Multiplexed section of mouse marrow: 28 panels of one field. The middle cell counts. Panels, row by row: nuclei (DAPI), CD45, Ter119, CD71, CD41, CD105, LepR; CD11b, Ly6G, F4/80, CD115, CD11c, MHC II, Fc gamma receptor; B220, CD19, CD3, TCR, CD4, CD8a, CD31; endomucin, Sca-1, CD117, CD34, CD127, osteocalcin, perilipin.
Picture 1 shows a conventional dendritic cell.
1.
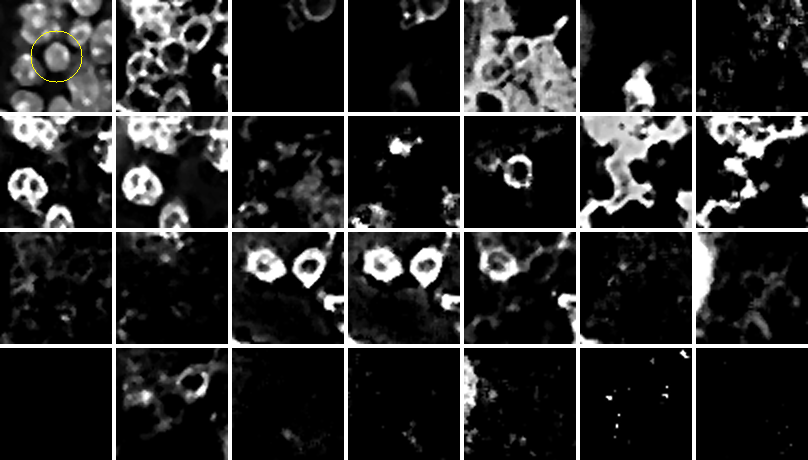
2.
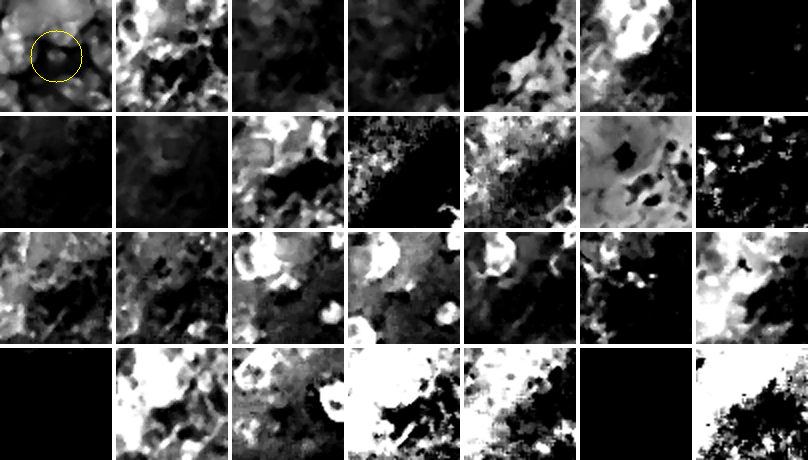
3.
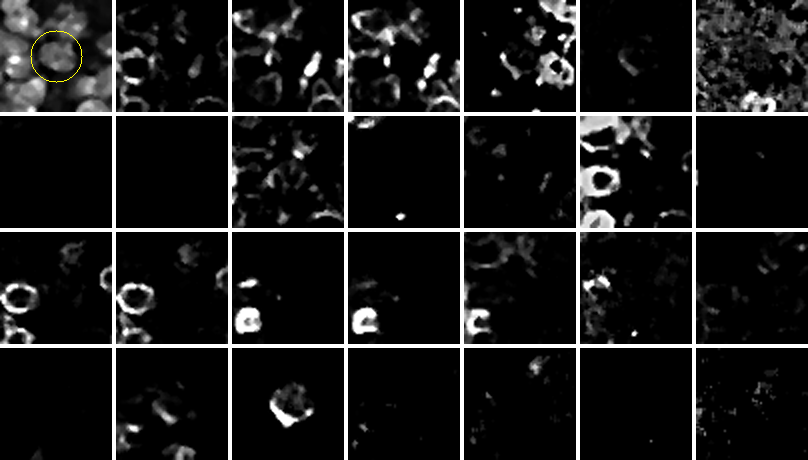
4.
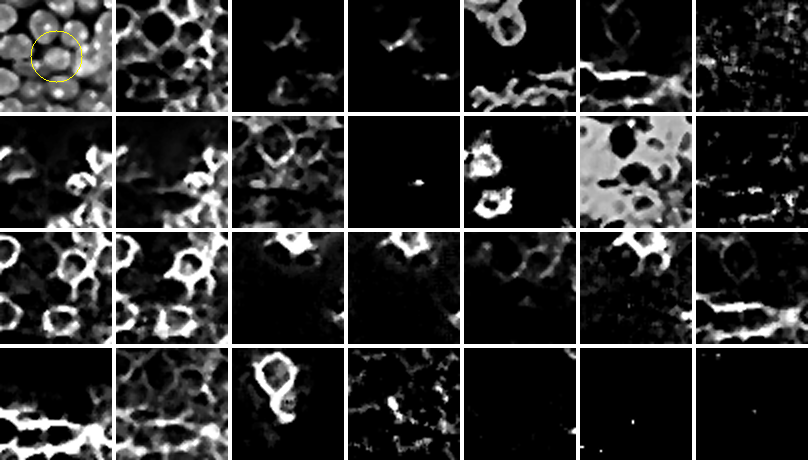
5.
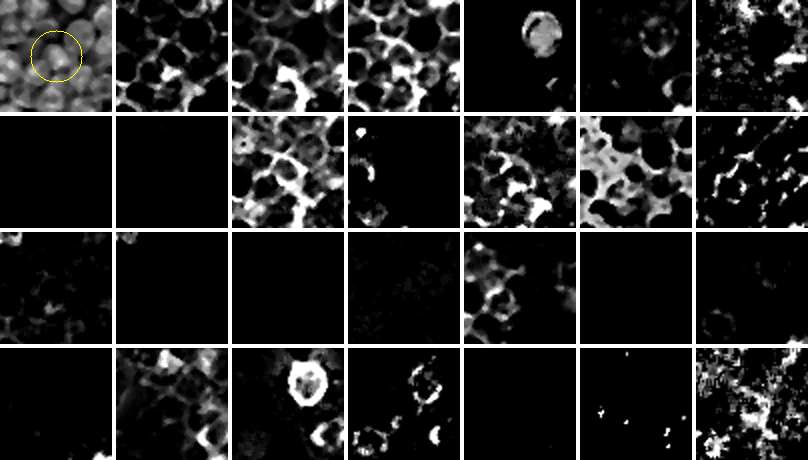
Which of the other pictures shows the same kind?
Picture 5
